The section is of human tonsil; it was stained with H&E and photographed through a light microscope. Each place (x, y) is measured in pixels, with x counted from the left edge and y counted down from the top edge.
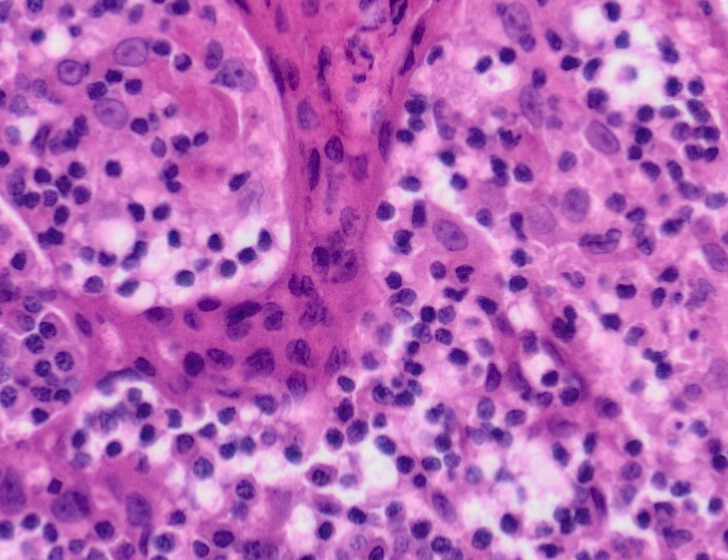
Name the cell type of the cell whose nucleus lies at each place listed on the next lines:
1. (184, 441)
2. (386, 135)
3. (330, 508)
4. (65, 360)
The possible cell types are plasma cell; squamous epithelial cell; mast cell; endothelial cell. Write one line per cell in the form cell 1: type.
cell 1: plasma cell
cell 2: squamous epithelial cell
cell 3: plasma cell
cell 4: plasma cell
